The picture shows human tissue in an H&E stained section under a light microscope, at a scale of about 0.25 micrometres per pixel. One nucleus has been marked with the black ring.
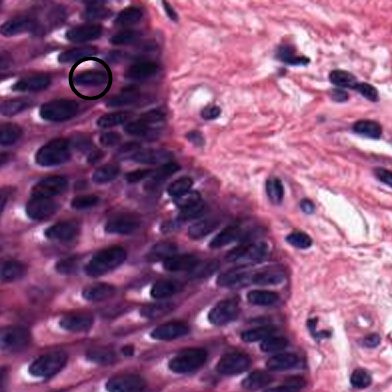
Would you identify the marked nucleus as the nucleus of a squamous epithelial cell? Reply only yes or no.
yes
